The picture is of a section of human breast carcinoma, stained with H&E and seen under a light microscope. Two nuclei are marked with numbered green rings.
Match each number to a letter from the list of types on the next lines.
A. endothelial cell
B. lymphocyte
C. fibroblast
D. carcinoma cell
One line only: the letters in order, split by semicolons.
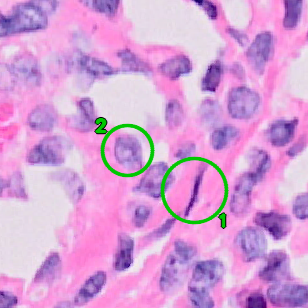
C; D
